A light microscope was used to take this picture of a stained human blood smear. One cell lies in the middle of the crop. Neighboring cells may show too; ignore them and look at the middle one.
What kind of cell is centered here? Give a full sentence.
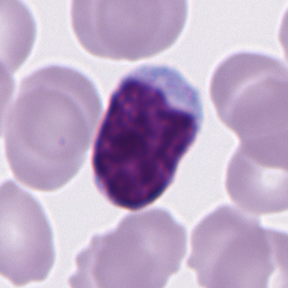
Centred in the crop is a lymphocyte.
